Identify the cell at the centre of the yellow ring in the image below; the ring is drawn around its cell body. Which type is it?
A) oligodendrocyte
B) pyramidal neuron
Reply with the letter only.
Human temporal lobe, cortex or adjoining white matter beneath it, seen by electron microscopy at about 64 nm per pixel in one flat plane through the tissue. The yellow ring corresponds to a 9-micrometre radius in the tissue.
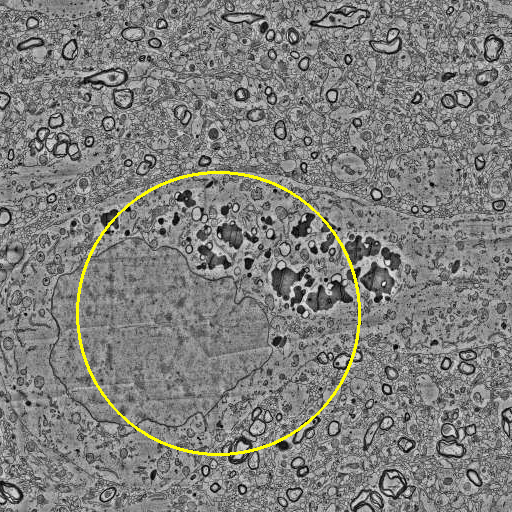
B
